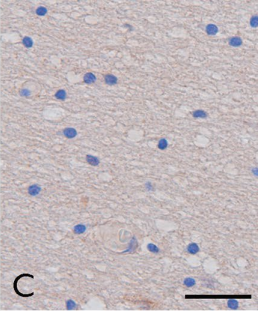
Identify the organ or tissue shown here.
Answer: white matter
